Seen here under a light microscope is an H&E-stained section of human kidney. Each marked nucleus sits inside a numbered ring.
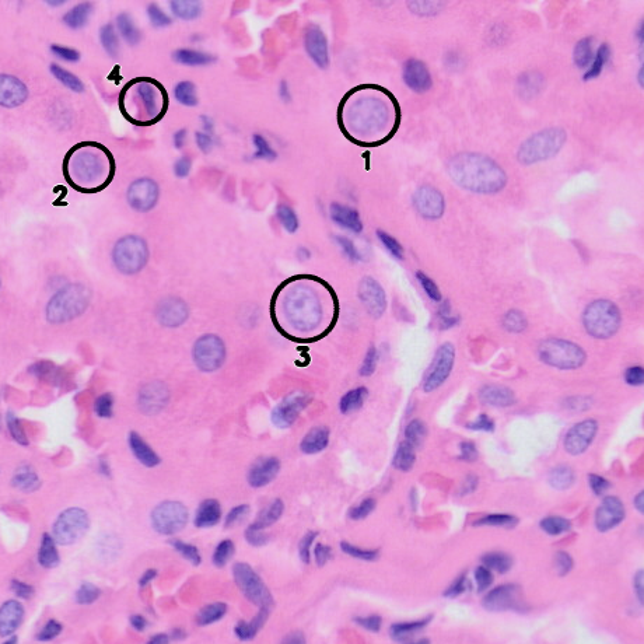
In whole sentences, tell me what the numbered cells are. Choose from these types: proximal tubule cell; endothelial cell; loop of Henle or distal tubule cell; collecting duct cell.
Cells 1, 2 and 3 are proximal tubule cells. Cell 4 is an endothelial cell.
